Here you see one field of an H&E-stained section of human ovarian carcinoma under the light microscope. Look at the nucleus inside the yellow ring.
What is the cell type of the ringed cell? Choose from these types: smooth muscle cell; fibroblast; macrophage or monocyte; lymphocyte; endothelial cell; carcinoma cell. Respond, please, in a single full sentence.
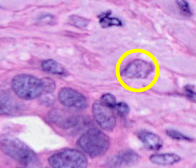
In the tissue under study, the ringed cell is a fibroblast.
